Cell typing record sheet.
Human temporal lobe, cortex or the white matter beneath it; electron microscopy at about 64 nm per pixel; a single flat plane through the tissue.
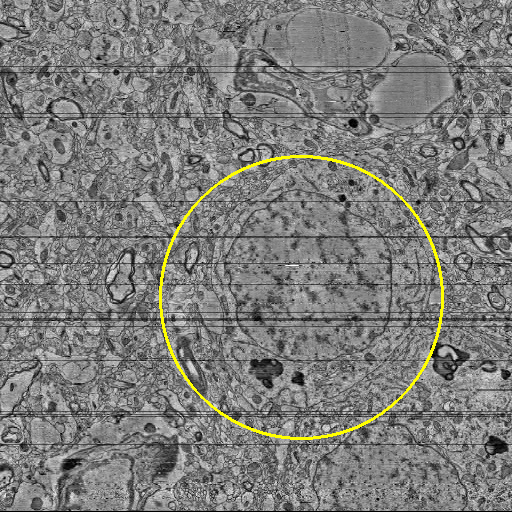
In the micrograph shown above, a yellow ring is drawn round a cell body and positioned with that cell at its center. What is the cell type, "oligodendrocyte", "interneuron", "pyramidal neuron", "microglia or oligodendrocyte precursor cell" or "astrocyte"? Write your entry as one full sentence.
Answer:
The cell body at the center of the ring belongs to a pyramidal neuron.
